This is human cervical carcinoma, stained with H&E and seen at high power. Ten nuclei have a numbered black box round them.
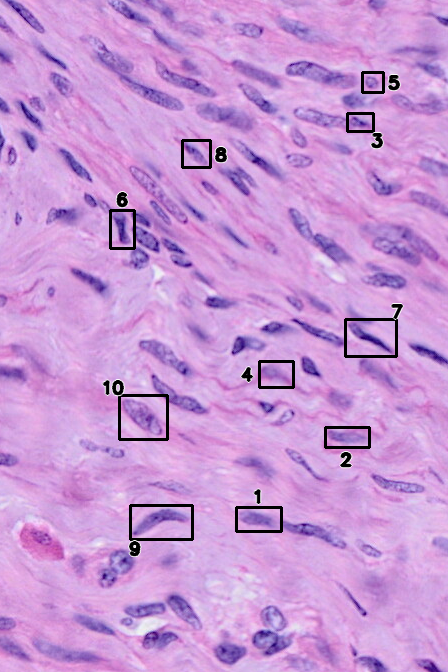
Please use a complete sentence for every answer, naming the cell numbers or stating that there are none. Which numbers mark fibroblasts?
The cells referred to by numbers 1, 6, 7 and 9 are fibroblasts.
